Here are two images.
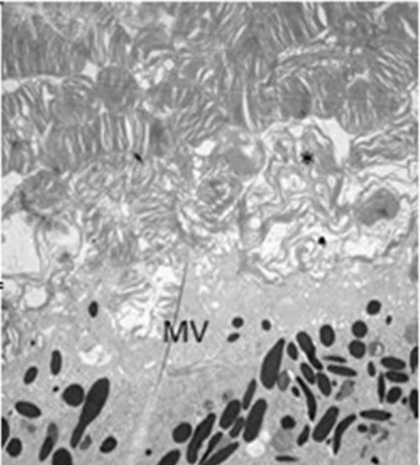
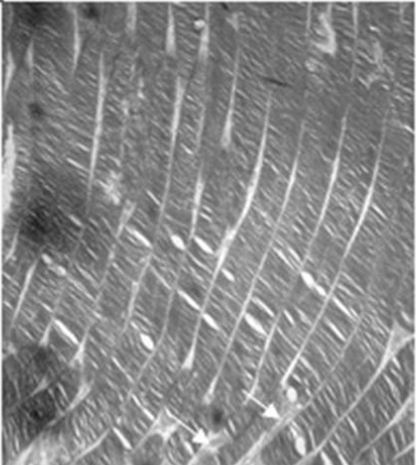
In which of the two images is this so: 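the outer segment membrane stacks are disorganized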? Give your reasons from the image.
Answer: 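First image: the membrane stacks above the pigmented layer are wavy, folded and irregular.
Conclusion: the first image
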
